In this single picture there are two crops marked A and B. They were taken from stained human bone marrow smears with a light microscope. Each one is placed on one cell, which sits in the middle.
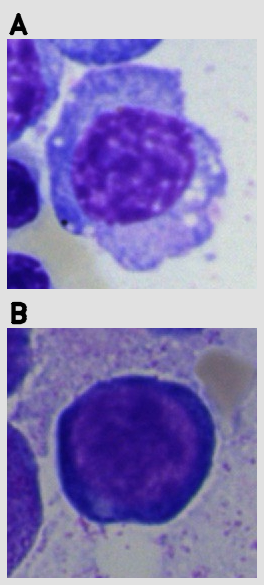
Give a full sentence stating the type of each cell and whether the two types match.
No, crop A is of a plasma cell, and crop B is of a proerythroblast.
